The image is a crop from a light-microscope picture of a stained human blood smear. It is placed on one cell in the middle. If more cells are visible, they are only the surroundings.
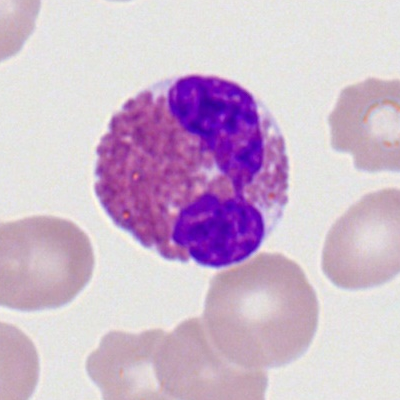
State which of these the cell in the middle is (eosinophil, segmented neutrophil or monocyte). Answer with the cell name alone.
eosinophil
